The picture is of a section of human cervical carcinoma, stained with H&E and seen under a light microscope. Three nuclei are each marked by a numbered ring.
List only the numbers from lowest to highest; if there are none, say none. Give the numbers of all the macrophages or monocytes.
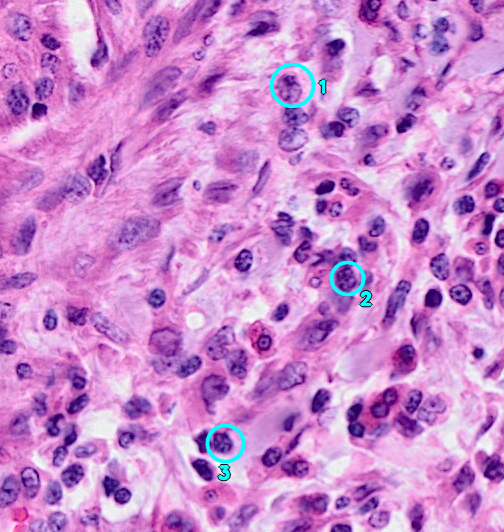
1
